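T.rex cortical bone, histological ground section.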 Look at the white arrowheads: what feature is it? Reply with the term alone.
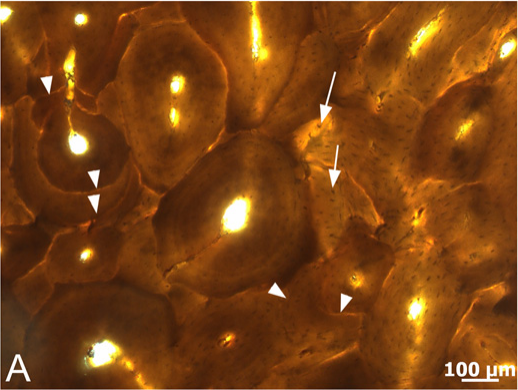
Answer: Secondary osteons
